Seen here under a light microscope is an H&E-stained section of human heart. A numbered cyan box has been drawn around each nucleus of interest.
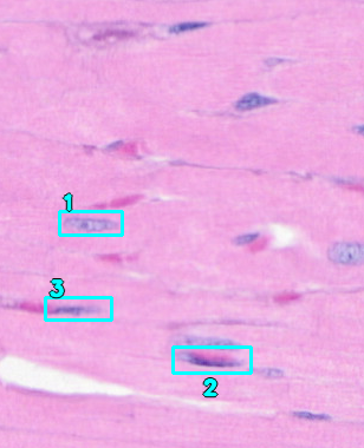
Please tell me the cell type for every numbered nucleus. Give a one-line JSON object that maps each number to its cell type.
{"1": "cardiomyocyte", "2": "endothelial cell", "3": "endothelial cell"}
